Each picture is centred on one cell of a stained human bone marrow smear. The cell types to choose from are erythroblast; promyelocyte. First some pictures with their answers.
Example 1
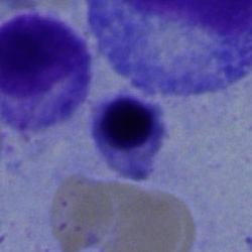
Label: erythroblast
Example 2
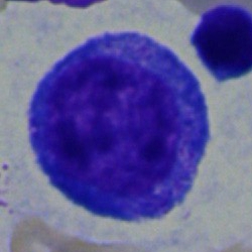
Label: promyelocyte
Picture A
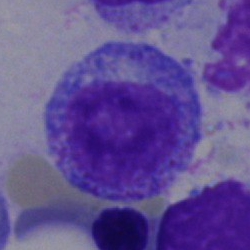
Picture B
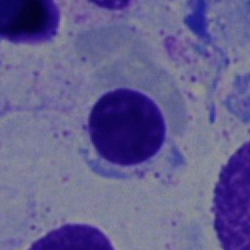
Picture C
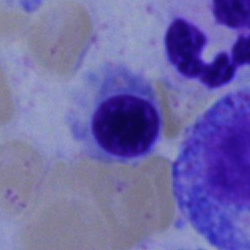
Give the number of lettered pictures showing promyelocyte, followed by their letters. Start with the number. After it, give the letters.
1, namely A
